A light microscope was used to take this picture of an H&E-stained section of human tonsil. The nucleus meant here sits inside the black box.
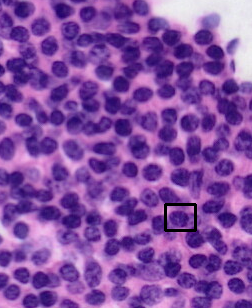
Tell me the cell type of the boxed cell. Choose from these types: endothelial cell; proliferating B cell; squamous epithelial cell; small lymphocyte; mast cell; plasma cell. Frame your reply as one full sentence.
At the level of cell identity, the boxed cell is a small lymphocyte.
